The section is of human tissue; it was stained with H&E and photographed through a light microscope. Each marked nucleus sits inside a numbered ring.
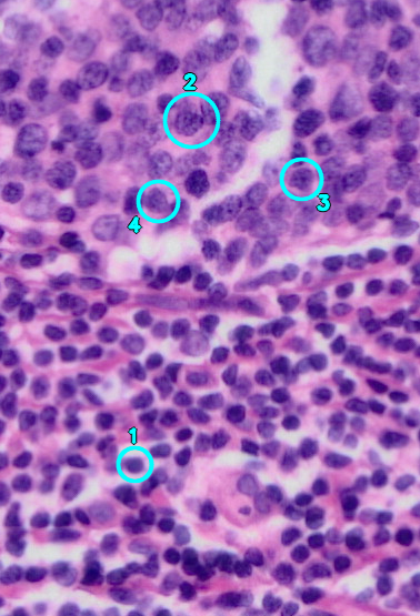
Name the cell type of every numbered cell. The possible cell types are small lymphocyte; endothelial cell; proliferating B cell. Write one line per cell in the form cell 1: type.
cell 1: small lymphocyte
cell 2: proliferating B cell
cell 3: proliferating B cell
cell 4: proliferating B cell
